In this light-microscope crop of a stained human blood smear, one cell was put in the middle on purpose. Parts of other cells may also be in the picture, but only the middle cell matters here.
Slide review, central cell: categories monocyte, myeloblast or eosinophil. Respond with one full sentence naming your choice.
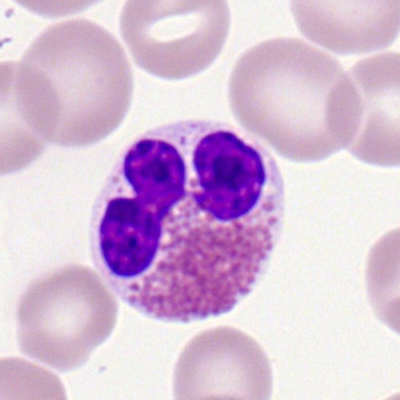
Standing at the centre of this crop is an eosinophil.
